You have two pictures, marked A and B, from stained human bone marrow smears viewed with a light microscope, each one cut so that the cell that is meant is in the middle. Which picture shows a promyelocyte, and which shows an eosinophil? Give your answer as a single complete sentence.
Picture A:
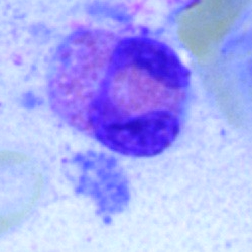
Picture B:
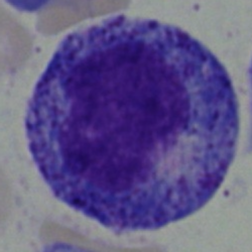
Picture A shows an eosinophil and picture B shows a promyelocyte.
